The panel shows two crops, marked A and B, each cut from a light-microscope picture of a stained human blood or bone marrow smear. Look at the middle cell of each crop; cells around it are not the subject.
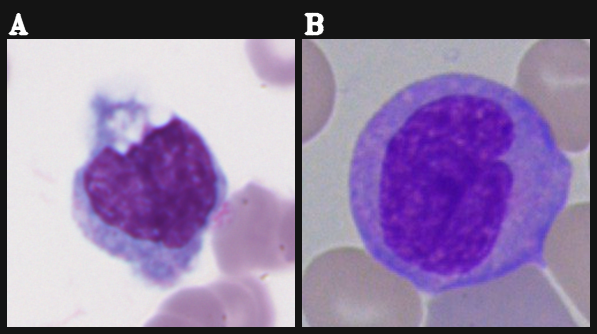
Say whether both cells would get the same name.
yes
